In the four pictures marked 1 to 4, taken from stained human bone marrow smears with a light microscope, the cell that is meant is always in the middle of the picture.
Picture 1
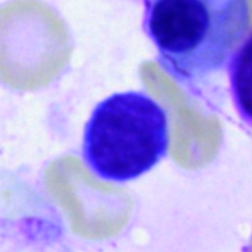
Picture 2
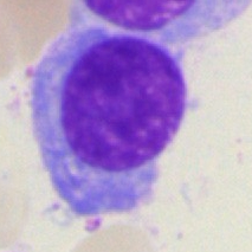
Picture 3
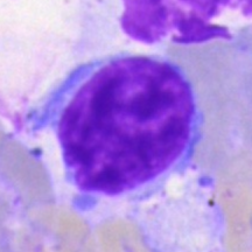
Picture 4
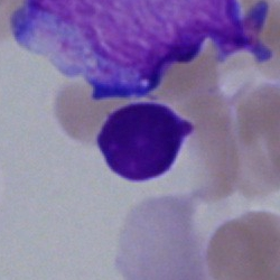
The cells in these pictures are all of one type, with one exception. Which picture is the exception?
2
